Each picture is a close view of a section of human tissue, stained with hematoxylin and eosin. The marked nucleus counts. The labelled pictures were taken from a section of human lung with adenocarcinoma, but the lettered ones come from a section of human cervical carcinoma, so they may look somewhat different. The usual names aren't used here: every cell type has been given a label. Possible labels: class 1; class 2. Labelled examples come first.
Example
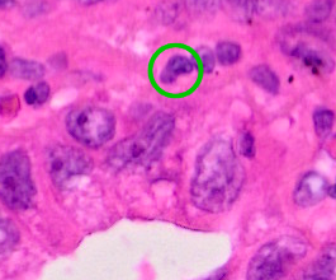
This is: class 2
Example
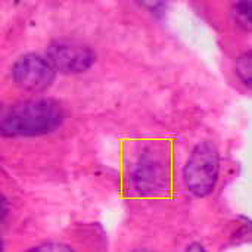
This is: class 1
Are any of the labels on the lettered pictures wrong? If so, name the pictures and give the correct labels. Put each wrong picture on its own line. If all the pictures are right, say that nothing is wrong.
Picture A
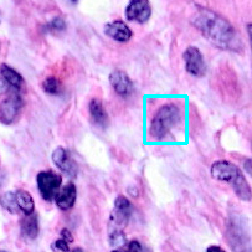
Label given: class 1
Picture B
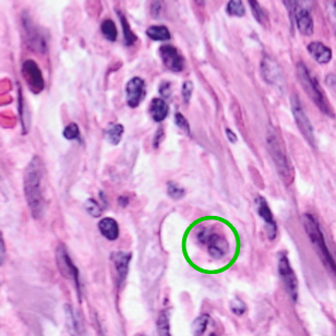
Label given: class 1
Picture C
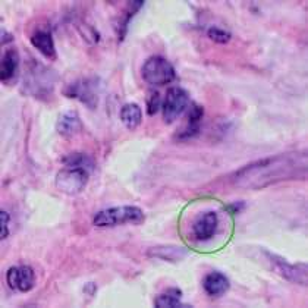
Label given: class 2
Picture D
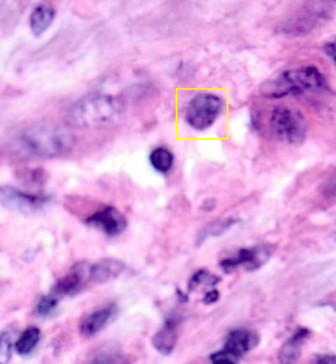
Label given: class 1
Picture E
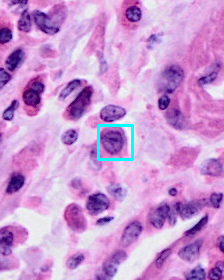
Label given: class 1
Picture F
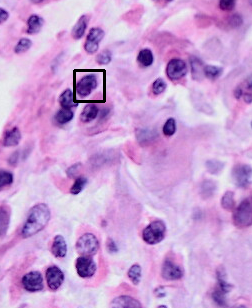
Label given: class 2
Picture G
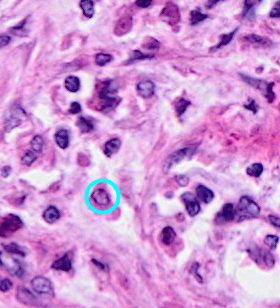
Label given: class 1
Every label is right.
